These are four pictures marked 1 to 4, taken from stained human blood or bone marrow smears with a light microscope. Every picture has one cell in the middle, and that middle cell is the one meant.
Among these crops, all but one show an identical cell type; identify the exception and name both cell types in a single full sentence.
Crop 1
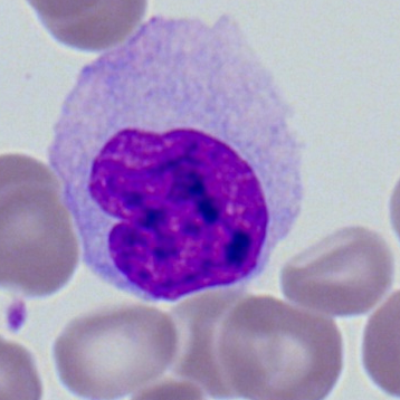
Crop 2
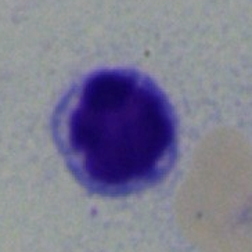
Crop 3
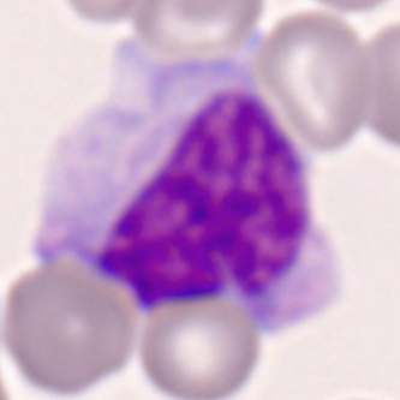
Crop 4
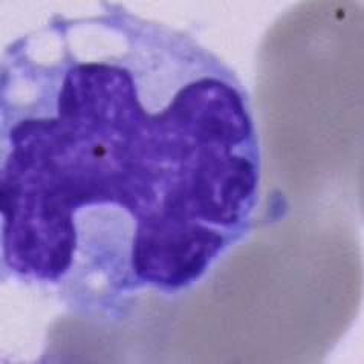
Crop 2 differs from the others in showing a lymphocyte; the rest all show monocytes.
